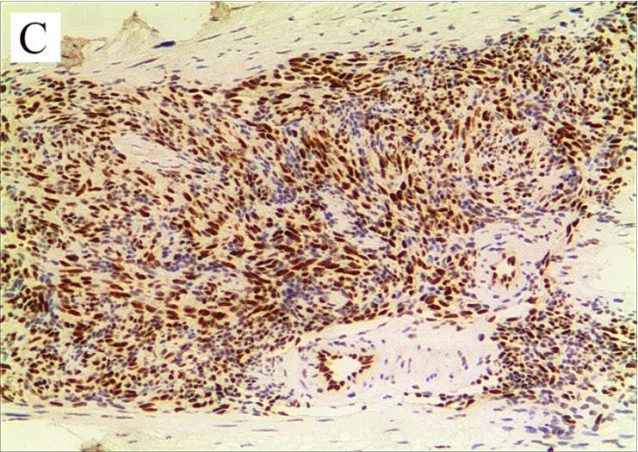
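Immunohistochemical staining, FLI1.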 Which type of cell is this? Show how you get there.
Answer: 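Spindle cells. Densely packed elongated nuclei stained brown. Nuclei are aligned in streaming fascicles. Pale loose stroma borders the cellular area.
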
